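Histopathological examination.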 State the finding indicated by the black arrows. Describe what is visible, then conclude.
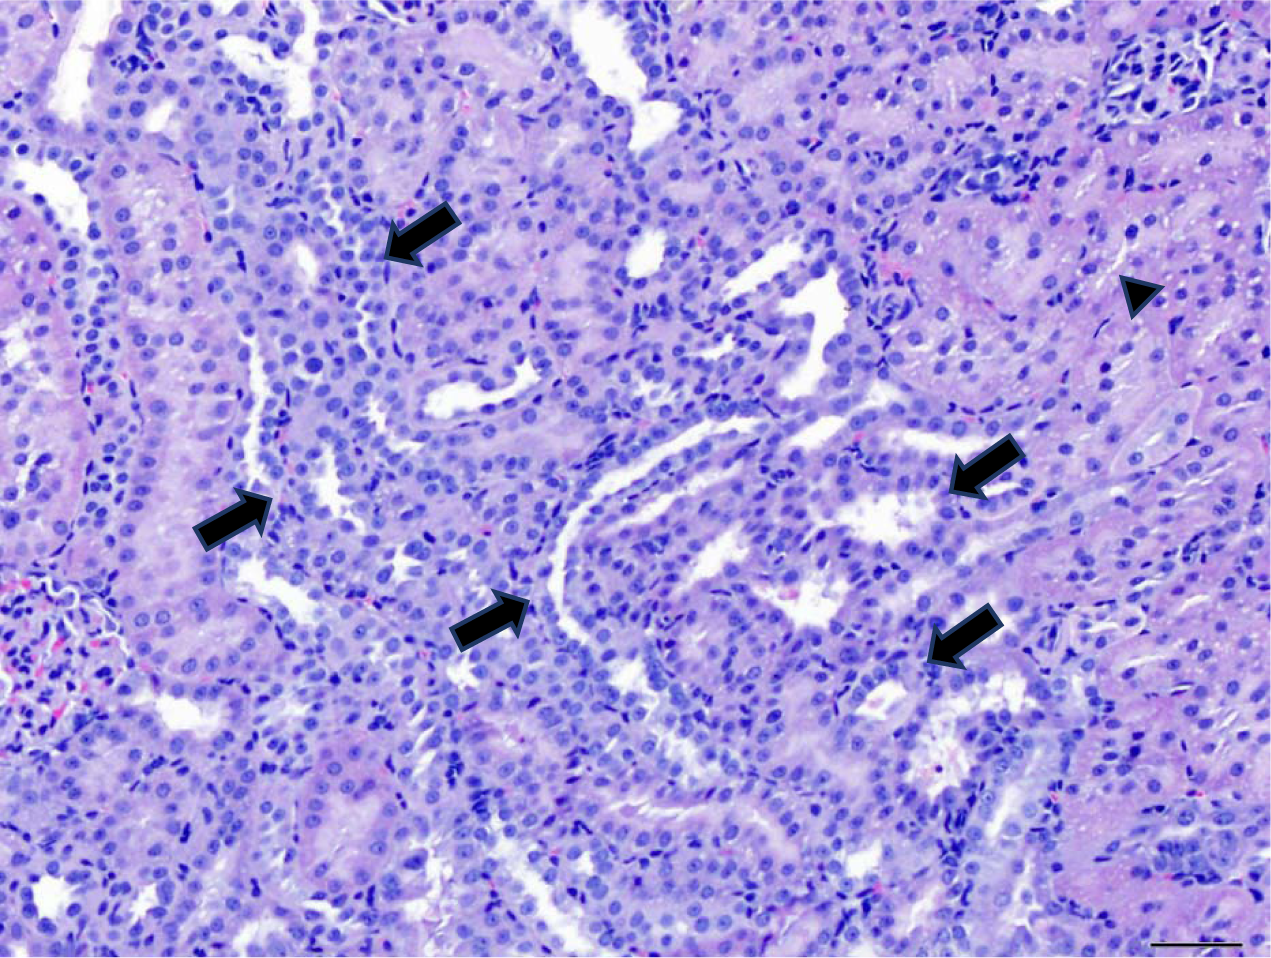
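Renal tubular regeneration. The arrowed tubules are lined by crowded epithelial cells with closely packed, darker nuclei. The cytoplasm of the arrowed tubules is paler and more bluish than in the surrounding pink tubules.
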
